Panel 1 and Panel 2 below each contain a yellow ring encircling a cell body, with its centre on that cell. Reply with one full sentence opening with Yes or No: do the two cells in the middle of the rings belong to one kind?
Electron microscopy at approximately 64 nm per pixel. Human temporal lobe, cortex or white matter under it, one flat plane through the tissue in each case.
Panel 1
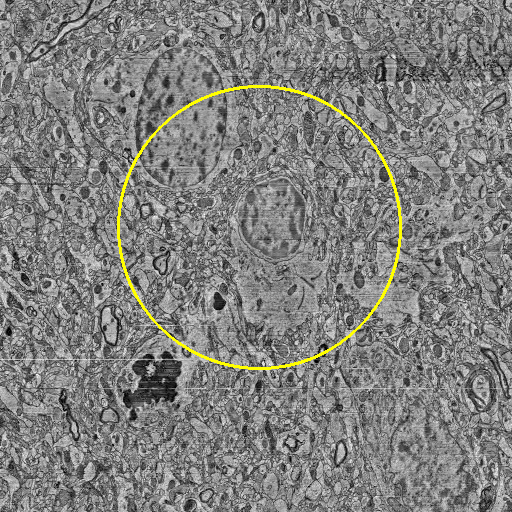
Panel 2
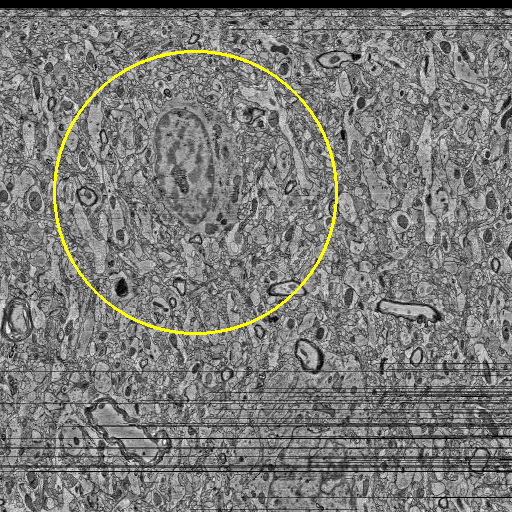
No, the cells at the middle of the Panel 1 ring and the Panel 2 ring are of two kinds.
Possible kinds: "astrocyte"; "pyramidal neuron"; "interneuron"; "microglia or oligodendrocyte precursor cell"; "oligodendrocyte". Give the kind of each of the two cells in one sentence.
The cell in the second picture is an oligodendrocyte, and that in the first is a microglial cell or oligodendrocyte precursor cell.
